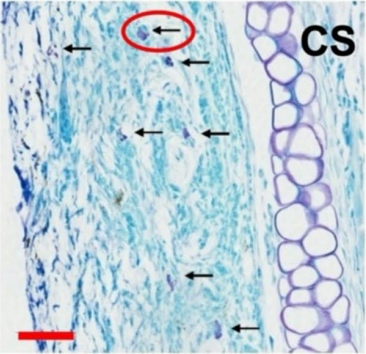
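Section of ear with cartilage at the right and densely cellular, blue-stained connective tissue with mast cells. The cartilage is a curved column of large rounded cells with violet walls. The connective tissue to its left is crowded with small blue nuclei, among which several violet-purple mast cells lie scattered. A darker blue surface layer runs along the left margin.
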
